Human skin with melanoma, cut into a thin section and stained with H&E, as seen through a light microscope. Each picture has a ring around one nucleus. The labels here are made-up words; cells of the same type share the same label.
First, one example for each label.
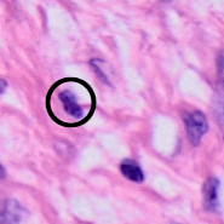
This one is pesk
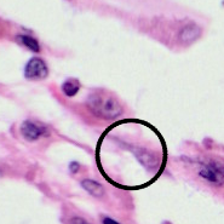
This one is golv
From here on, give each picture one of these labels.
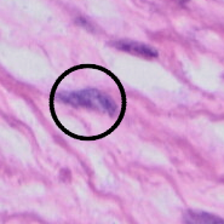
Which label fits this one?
golv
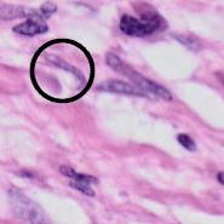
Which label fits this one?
golv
